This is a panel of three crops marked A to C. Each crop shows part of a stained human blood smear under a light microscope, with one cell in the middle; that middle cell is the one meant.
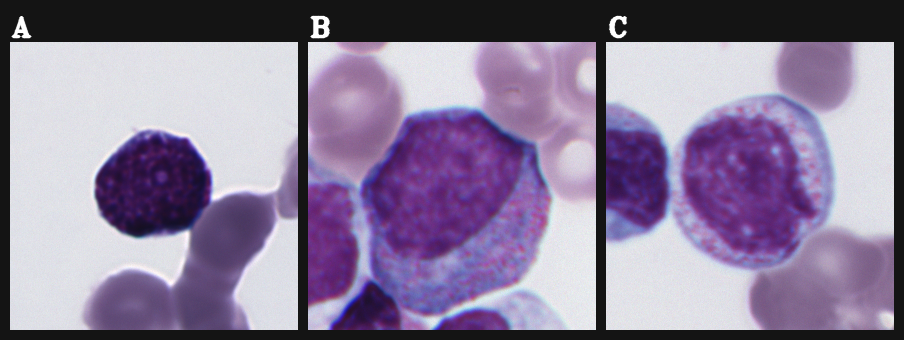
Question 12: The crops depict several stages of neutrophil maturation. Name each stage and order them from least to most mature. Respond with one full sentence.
Moving up in maturity, the order goes crop A (a myeloblast), crop B (a promyelocyte) and crop C (a myelocyte).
